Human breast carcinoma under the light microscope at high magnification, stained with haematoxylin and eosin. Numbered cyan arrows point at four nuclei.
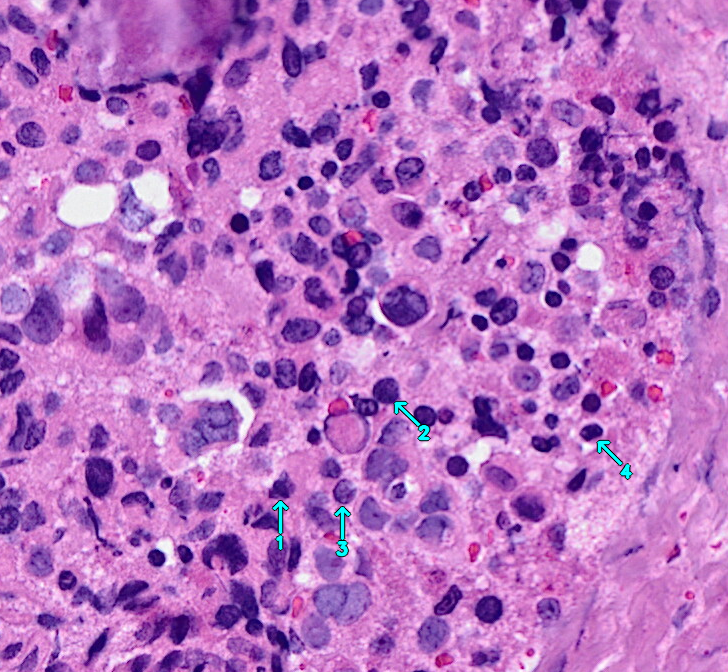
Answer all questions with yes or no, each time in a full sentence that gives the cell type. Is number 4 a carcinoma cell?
No, rather than a carcinoma cell, cell number 4 is a lymphocyte.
